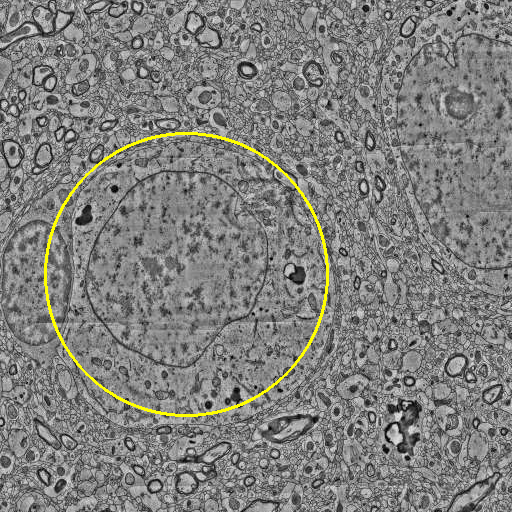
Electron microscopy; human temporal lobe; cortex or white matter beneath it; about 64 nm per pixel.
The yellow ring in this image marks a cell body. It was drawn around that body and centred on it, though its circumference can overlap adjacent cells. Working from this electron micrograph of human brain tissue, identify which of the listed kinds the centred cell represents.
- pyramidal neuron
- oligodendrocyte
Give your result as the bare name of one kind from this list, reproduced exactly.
pyramidal neuron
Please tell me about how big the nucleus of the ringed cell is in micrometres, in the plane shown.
In this plane the nucleus measures roughly 12 micrometres across.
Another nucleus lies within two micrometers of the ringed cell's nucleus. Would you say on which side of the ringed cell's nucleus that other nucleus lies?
That other nucleus appears to the left of it.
